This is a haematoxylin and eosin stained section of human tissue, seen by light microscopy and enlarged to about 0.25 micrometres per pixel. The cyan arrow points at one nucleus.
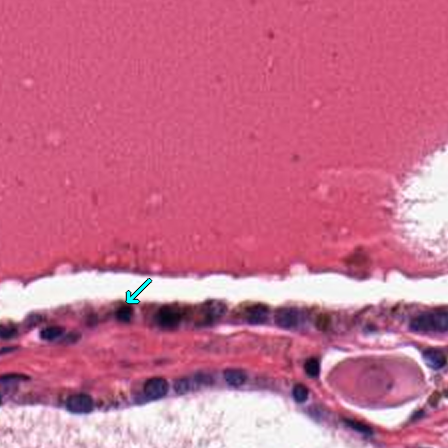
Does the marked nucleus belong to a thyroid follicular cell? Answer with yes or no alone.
yes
